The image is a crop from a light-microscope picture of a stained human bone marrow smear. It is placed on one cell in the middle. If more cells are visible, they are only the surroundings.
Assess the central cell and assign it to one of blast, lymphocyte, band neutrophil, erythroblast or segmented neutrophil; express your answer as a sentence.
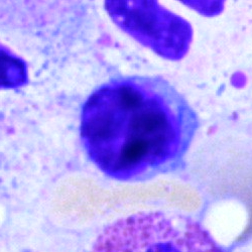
The middle of this crop holds a lymphocyte.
